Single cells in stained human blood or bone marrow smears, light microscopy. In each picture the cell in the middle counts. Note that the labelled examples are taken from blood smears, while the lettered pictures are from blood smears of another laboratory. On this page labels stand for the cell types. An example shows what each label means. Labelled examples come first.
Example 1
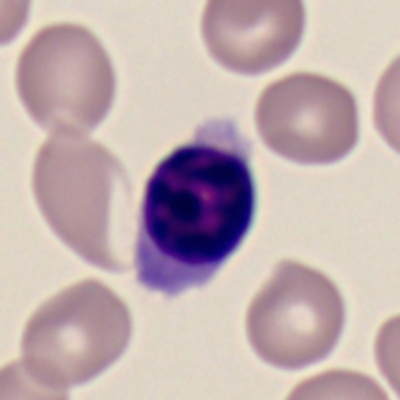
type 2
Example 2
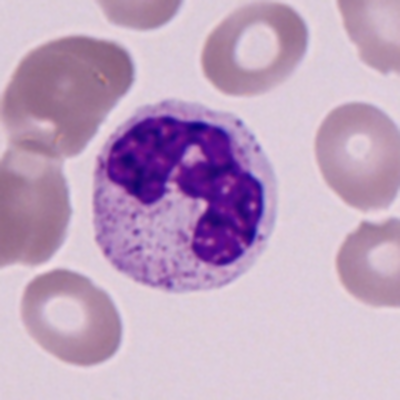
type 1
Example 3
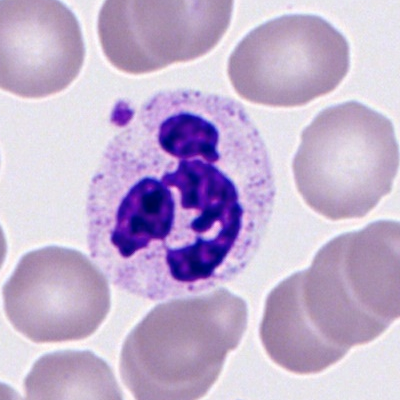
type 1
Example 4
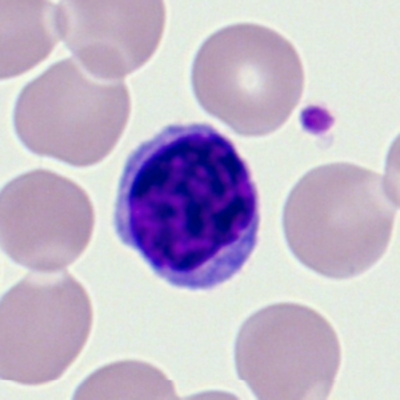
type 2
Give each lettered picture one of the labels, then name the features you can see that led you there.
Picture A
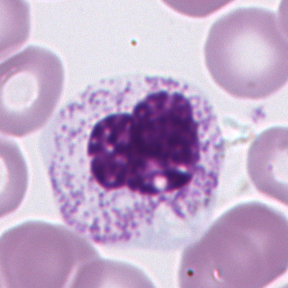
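Label: type 1. The nucleus is divided into lobes, with a smaller lobe on the left and a larger lobe on the right.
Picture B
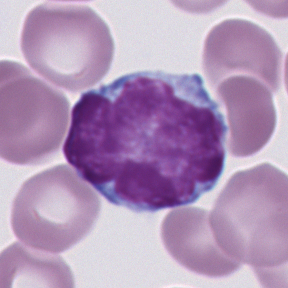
Label: type 2. The nucleus fills most of the cell.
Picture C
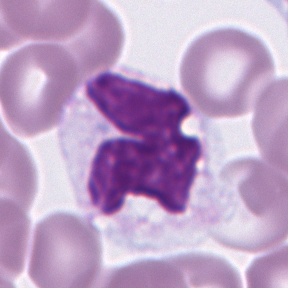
Label: type 1. The plentiful cytoplasm is very pale, with only a faint lilac tint.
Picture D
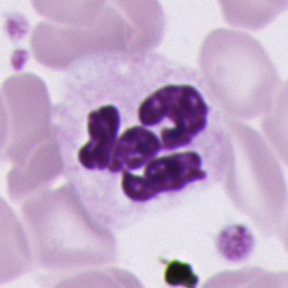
Label: type 1. The cytoplasm is plentiful and pale pinkish-lilac.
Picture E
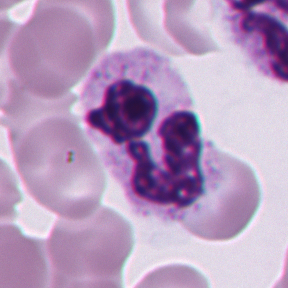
Label: type 1. The cytoplasm is plentiful and pale pinkish-lilac.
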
